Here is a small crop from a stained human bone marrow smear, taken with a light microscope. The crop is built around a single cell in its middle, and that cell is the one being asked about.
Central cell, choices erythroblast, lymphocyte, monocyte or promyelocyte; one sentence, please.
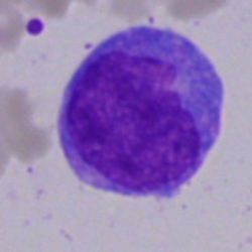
Whatever else lies nearby, the middle cell is a monocyte.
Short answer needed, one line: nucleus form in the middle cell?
The cell carries one compact nucleus shaped round, oval or like a kidney.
